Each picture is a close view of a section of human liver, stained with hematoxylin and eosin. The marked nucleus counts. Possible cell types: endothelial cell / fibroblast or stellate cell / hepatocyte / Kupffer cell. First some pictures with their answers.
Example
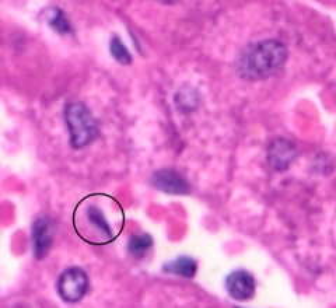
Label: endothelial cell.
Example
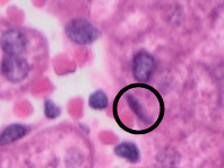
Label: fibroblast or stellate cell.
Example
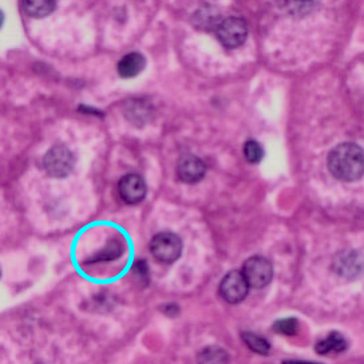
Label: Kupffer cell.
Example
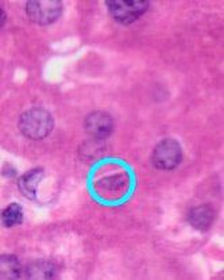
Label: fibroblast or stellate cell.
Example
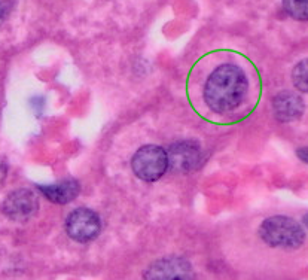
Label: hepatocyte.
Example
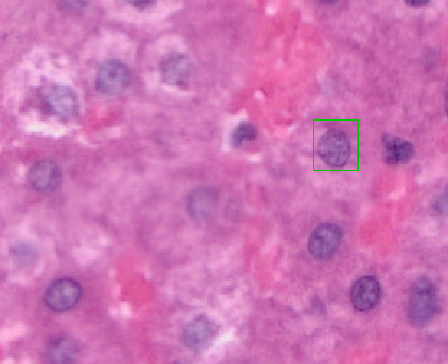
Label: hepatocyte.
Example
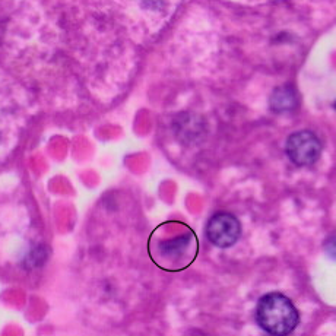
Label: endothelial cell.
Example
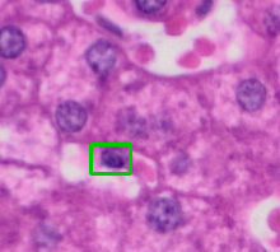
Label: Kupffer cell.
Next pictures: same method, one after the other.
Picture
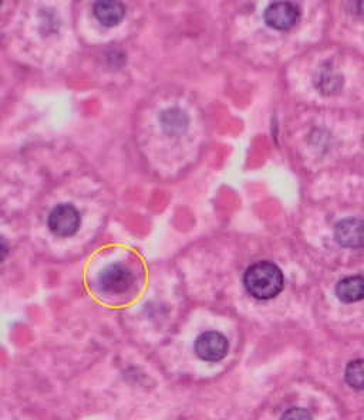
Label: endothelial cell.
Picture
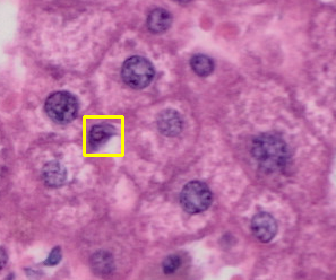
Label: endothelial cell.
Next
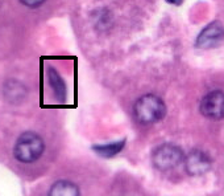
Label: fibroblast or stellate cell.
